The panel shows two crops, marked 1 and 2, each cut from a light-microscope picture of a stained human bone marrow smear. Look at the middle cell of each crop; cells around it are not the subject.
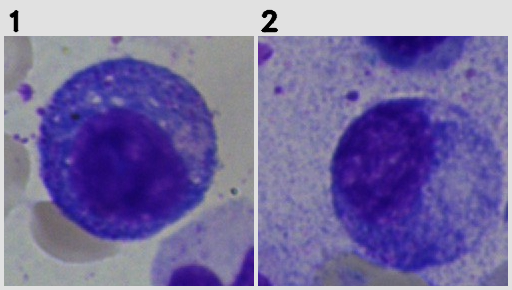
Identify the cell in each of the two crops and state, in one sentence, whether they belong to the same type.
Yes, the two crops share the same answer, promyelocytes.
